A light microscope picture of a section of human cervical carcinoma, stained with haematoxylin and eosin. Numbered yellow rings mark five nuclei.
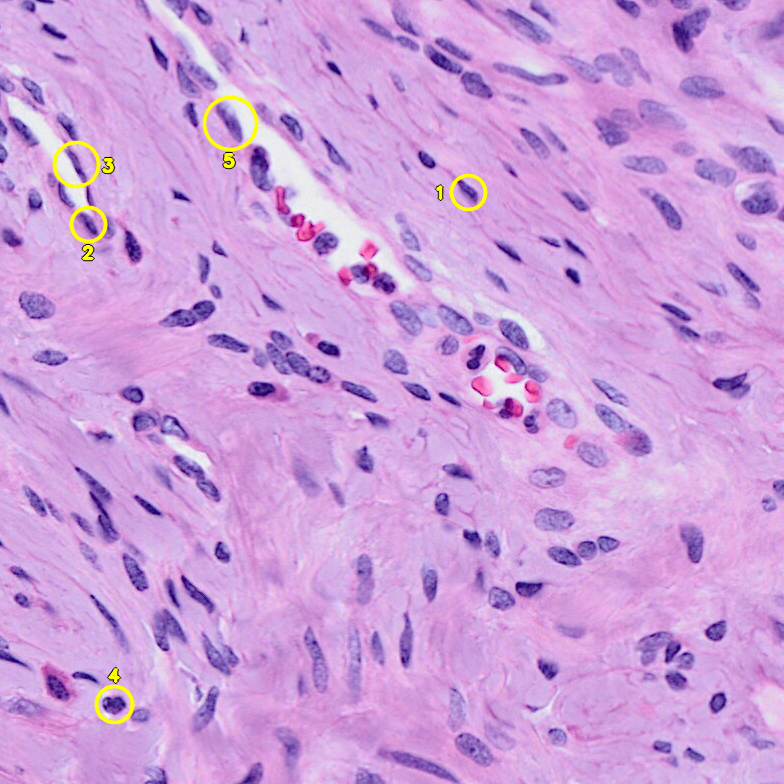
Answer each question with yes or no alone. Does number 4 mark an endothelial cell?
no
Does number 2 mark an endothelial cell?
yes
